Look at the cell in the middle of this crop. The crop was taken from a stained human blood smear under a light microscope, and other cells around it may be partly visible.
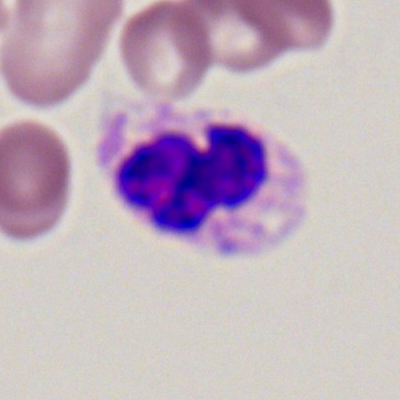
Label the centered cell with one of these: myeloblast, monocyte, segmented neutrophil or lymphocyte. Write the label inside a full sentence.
The cell featured at the centre of this crop is a segmented neutrophil.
